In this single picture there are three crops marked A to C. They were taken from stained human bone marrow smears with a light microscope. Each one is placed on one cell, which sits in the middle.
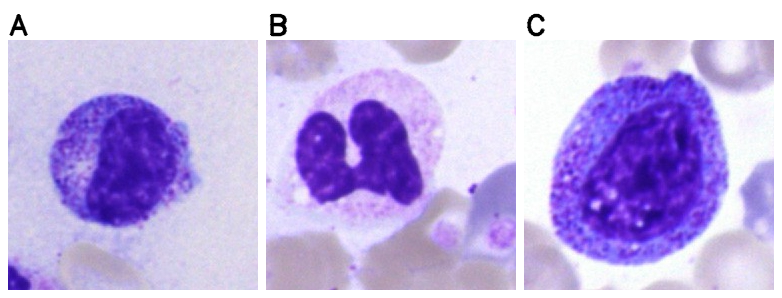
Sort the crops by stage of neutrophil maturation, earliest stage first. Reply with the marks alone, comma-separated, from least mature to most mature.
C, A, B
